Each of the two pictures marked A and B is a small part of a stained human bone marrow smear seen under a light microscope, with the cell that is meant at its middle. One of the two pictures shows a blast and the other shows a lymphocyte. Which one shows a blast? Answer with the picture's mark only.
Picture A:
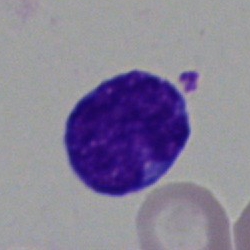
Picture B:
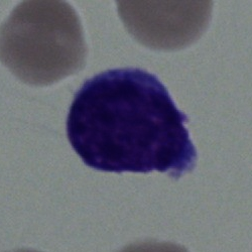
A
